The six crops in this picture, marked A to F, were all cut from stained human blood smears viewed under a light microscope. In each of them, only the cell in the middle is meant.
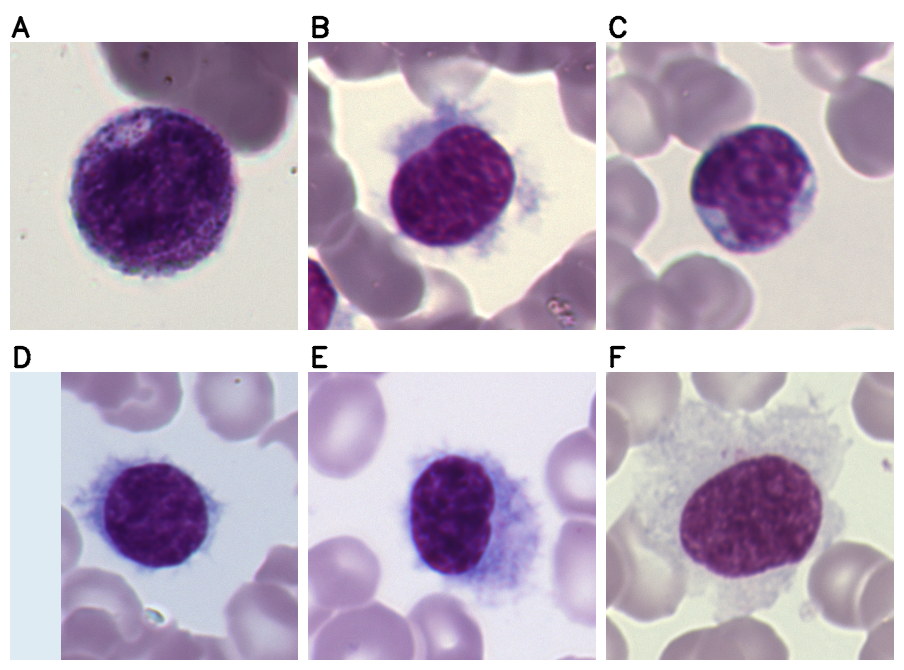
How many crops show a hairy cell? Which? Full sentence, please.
In crops B, D, E and F, four in all, the central cells are hairy cells.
